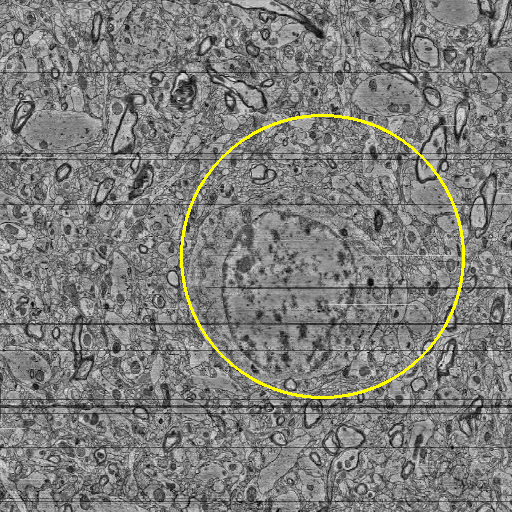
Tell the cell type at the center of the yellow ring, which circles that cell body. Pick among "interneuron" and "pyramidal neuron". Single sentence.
The ring is centered on the body of an interneuron.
